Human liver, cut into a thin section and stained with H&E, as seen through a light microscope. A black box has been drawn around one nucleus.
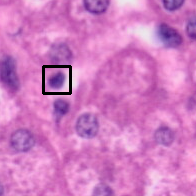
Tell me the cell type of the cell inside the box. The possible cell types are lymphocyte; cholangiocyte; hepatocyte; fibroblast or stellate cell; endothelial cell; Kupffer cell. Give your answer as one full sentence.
It is a lymphocyte that the cell inside the box represents.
